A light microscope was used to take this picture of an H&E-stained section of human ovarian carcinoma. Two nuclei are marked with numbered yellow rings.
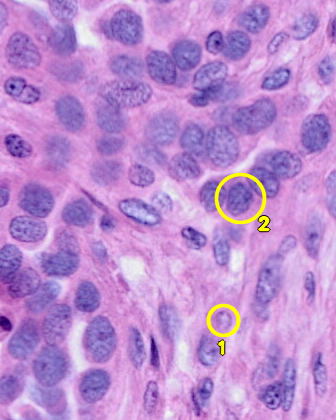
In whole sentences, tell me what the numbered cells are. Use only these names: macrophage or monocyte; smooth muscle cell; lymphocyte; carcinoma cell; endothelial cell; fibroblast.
Cell 1 is a fibroblast and cell 2 is a carcinoma cell.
